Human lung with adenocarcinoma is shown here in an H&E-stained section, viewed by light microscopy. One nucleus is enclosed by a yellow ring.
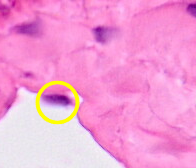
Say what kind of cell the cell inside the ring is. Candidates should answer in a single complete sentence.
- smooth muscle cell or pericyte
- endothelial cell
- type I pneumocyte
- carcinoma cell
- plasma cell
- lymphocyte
At the level of cell identity, the cell inside the ring is an endothelial cell.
